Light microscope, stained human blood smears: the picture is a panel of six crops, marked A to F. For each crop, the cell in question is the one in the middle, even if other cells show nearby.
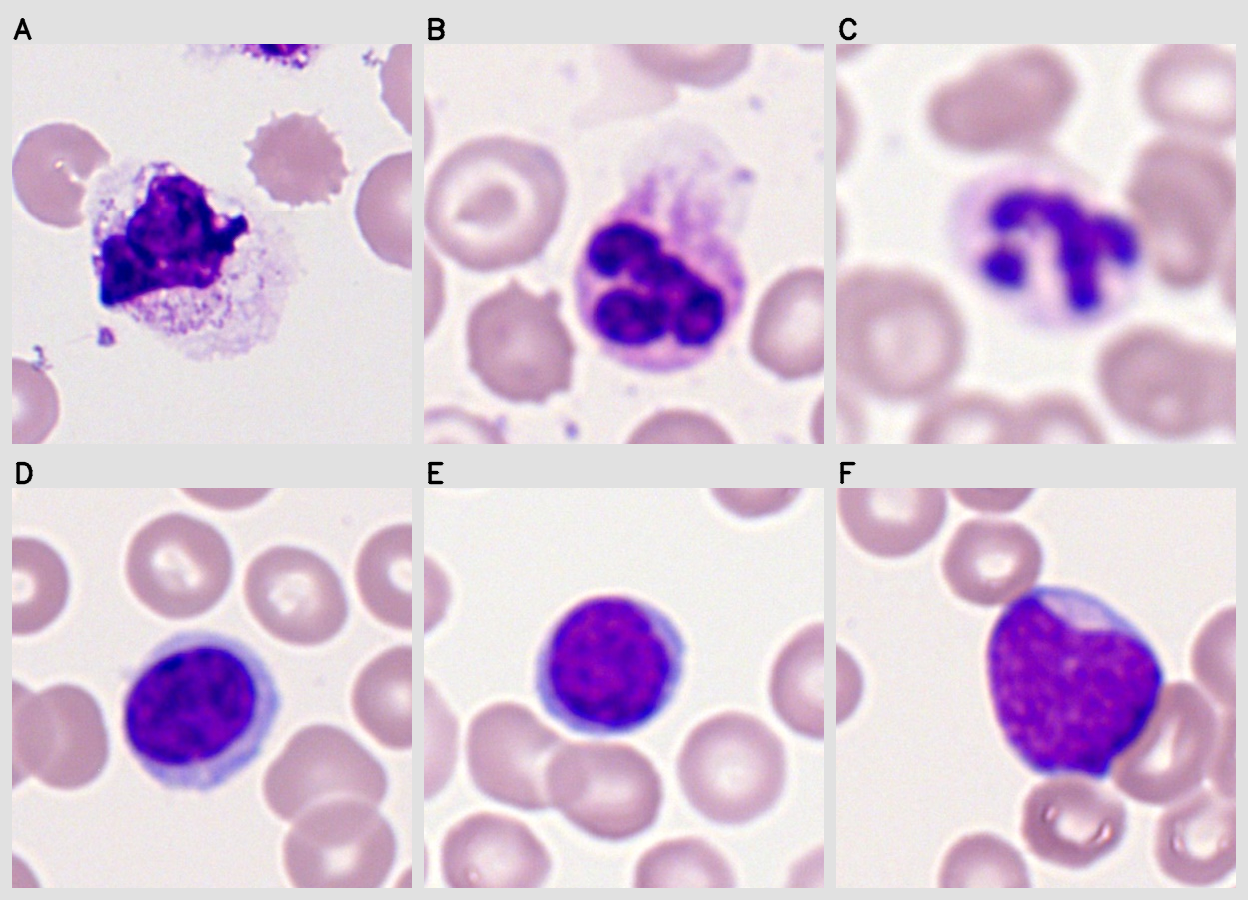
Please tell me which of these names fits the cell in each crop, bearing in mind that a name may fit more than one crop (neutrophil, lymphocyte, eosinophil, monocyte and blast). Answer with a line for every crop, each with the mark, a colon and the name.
A: neutrophil
B: neutrophil
C: neutrophil
D: lymphocyte
E: lymphocyte
F: blast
